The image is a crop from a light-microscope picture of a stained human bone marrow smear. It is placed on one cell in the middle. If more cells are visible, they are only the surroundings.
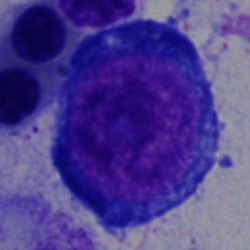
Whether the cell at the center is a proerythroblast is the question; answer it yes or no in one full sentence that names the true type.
Yes, the cell shown at the crop's centre is a proerythroblast.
